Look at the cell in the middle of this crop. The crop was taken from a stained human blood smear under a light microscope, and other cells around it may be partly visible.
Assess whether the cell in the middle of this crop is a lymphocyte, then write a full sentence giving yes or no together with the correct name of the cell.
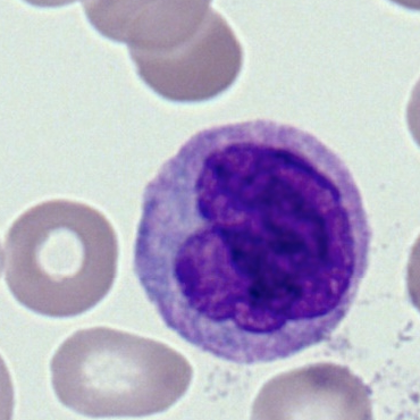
No, this cell in the middle is a monocyte, so it is not a lymphocyte.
